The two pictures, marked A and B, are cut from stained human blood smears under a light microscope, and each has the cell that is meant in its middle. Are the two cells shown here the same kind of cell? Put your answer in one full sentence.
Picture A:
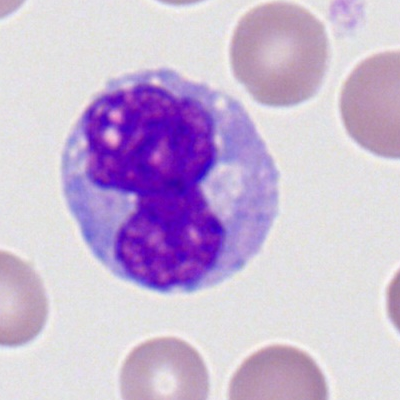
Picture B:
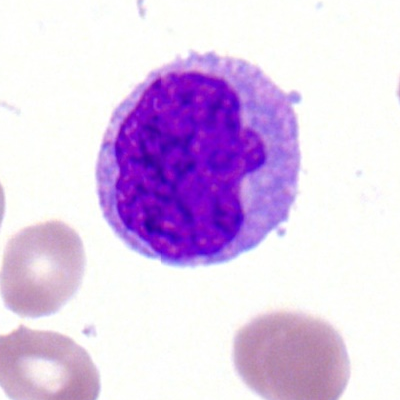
Yes, they are the same type: both are monocytes.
